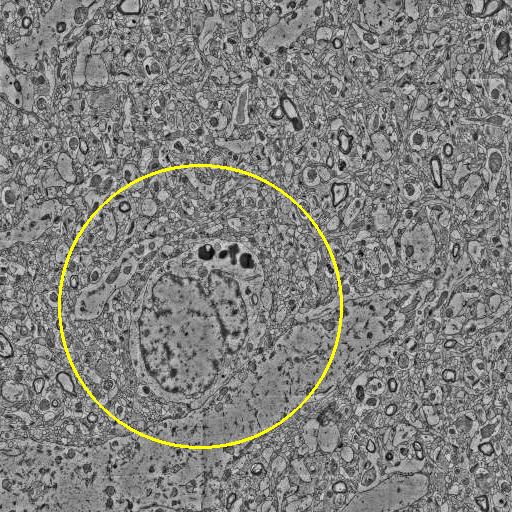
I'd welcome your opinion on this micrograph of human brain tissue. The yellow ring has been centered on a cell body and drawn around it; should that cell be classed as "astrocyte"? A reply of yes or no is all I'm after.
no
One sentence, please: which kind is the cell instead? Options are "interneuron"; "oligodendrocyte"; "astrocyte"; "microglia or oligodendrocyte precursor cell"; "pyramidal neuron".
Instead, the ring surrounds an interneuron in this picture.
